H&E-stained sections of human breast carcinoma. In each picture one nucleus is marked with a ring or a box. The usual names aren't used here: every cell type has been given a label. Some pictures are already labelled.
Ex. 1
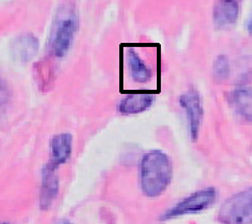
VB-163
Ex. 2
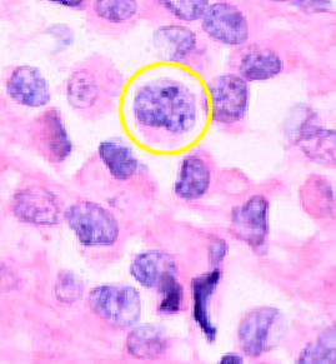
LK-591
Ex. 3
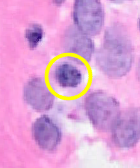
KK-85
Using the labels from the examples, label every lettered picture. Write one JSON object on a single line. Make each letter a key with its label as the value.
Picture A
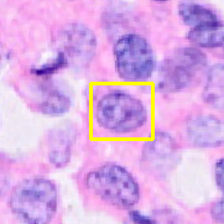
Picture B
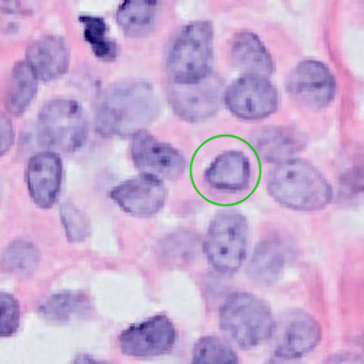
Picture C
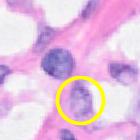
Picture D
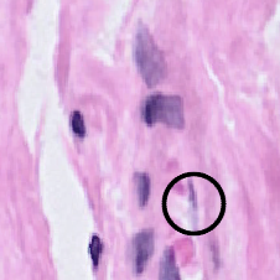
{"A": "LK-591", "B": "LK-591", "C": "LK-591", "D": "VB-163"}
